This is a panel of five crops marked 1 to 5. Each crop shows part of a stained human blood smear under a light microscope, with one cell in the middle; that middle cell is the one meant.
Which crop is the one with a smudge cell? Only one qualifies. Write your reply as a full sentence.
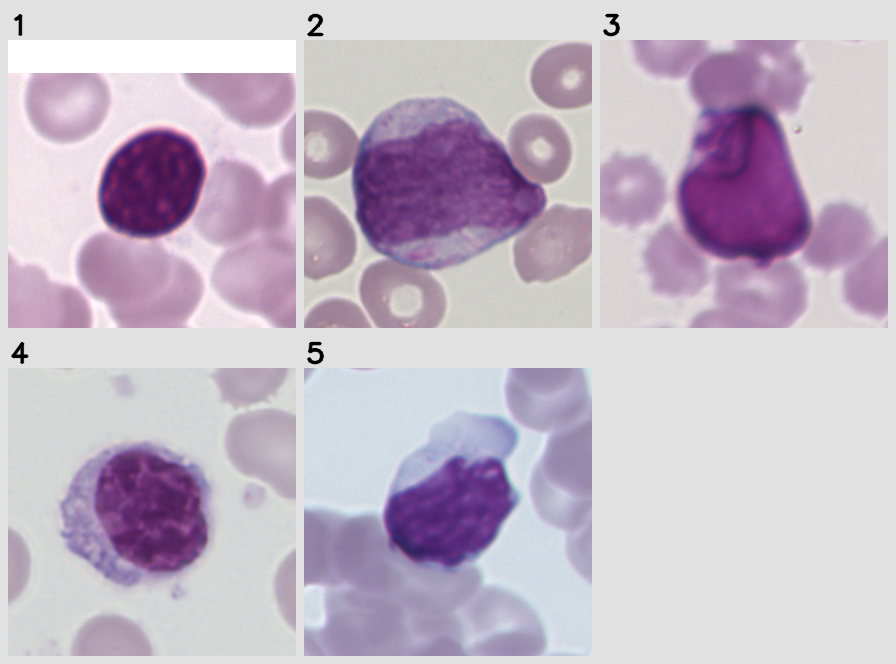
Selected crop: 1, which is the one that shows a smudge cell.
